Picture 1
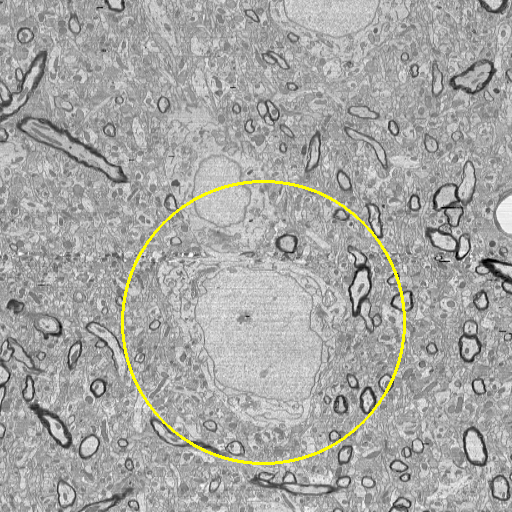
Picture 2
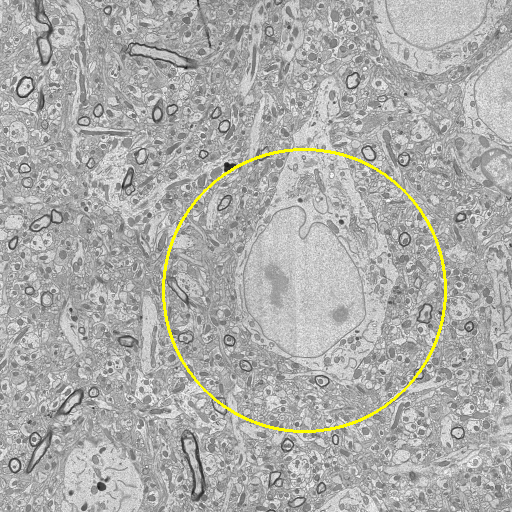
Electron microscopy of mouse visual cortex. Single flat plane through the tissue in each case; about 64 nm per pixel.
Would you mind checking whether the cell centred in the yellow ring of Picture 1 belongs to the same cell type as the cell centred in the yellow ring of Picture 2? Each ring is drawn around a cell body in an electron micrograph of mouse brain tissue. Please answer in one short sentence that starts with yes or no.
No, the two cells are of two types.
